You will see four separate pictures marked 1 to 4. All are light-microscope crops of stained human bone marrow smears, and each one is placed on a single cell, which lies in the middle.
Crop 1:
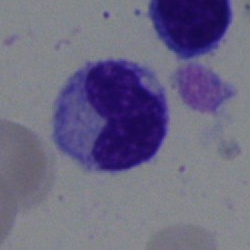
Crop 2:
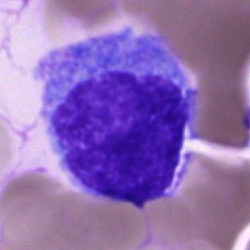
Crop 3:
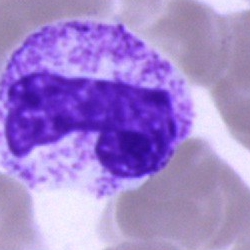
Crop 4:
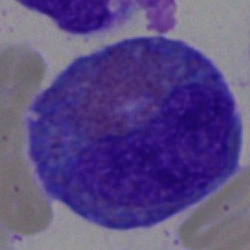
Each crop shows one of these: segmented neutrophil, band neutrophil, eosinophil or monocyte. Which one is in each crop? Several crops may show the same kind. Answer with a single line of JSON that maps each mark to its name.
{"1": "band neutrophil", "2": "monocyte", "3": "band neutrophil", "4": "eosinophil"}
